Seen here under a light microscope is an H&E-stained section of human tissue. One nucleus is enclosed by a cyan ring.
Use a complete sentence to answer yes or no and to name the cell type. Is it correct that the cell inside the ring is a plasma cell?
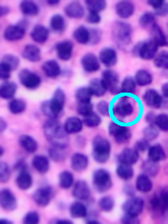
No, that is wrong: the cell inside the ring is a small lymphocyte, not a plasma cell.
